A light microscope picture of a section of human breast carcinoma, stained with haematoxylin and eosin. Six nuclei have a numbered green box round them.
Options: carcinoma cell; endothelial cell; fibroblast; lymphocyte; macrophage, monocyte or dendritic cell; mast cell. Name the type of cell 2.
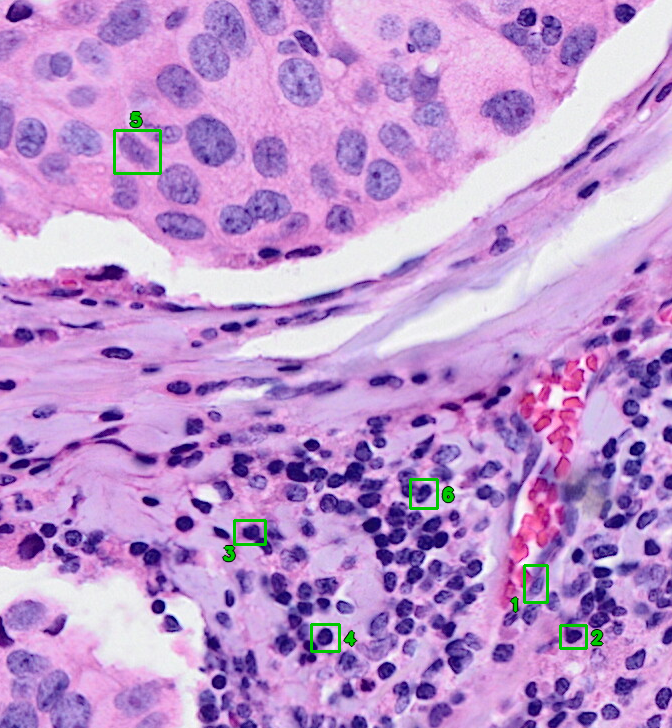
lymphocyte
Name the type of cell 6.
lymphocyte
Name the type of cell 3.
lymphocyte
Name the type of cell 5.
carcinoma cell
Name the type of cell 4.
lymphocyte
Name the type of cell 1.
endothelial cell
